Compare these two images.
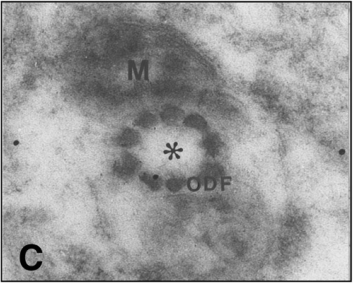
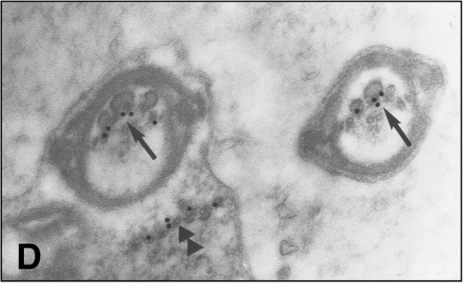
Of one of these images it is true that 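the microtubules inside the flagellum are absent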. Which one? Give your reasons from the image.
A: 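The first image. Second image: small microtubule profiles with gold particles are visible inside the flagellar cross sections. First image: a ring of dense fibres surrounds an empty-looking centre with no microtubule profiles.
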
